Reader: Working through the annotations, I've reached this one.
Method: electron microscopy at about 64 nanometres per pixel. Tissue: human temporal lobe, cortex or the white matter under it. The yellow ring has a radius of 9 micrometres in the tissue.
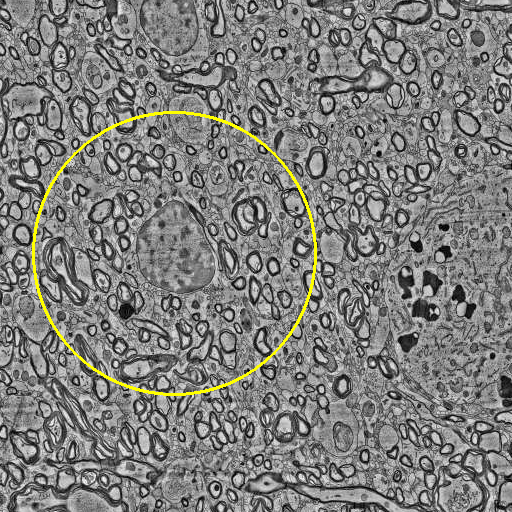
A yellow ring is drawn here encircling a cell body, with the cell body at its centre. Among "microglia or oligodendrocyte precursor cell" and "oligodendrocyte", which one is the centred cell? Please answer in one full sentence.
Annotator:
The cell body at the centre of the yellow ring in this image belongs to a microglial cell or oligodendrocyte precursor cell.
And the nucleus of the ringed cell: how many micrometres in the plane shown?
About 6 by 5 micrometres in this plane.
